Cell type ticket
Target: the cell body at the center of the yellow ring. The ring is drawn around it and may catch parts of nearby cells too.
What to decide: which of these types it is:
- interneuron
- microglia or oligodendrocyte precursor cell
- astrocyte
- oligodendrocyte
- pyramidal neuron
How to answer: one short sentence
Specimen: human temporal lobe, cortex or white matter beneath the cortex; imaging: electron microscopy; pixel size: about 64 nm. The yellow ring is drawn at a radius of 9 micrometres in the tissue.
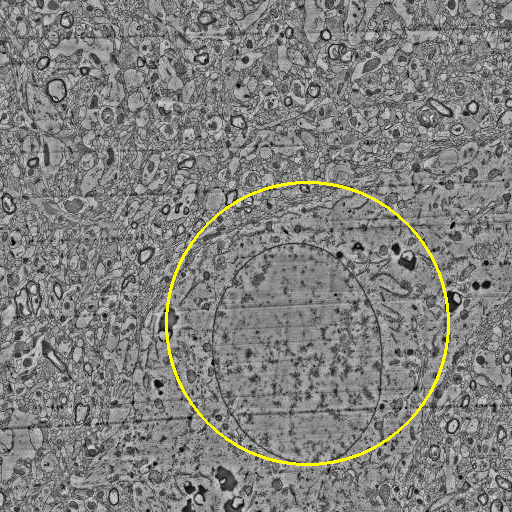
The cell at the center of the ring is a pyramidal neuron.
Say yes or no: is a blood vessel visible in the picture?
No, no vessel appears in the picture.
